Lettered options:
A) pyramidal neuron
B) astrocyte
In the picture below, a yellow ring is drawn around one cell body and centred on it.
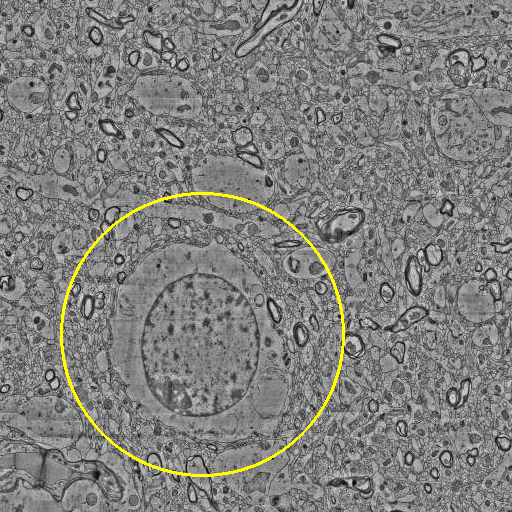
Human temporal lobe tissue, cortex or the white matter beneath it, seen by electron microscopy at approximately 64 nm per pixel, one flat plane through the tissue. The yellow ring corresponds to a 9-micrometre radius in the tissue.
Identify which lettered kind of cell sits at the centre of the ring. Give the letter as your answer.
B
